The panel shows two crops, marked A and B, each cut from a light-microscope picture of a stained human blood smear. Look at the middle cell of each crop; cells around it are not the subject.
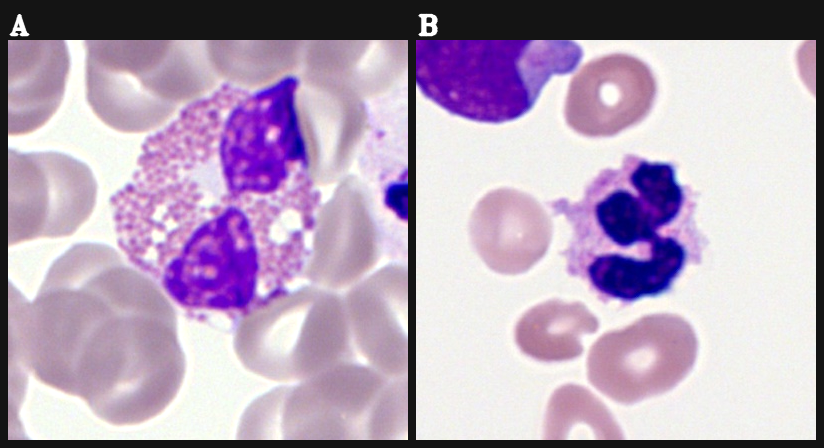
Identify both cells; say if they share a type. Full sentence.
No, a segmented neutrophil is in crop B, and an eosinophil is in crop A.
